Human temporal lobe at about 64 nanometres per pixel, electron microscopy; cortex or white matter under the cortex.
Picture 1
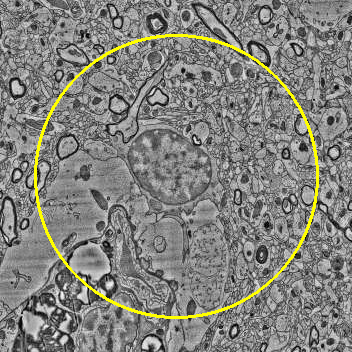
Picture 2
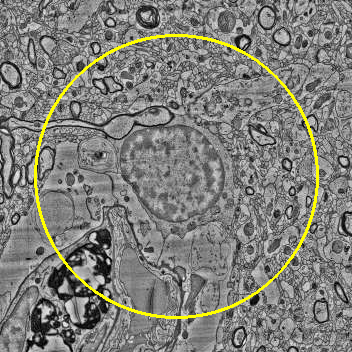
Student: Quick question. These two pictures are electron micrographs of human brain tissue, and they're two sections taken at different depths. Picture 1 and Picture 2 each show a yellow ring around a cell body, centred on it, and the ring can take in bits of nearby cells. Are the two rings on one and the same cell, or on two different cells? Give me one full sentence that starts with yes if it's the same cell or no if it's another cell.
Yes, the cell marked in each ring is one and the same.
